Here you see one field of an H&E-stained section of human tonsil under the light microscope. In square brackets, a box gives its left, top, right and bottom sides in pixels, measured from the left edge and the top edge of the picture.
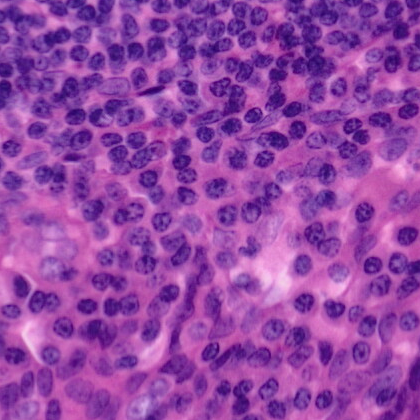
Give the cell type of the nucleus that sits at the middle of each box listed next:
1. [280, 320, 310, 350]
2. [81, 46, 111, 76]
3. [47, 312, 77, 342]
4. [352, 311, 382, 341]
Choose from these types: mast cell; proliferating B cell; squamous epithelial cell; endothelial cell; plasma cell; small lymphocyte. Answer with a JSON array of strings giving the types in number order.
["plasma cell", "small lymphocyte", "plasma cell", "plasma cell"]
